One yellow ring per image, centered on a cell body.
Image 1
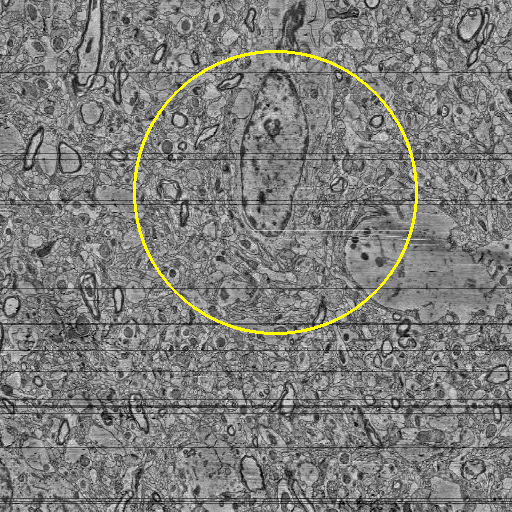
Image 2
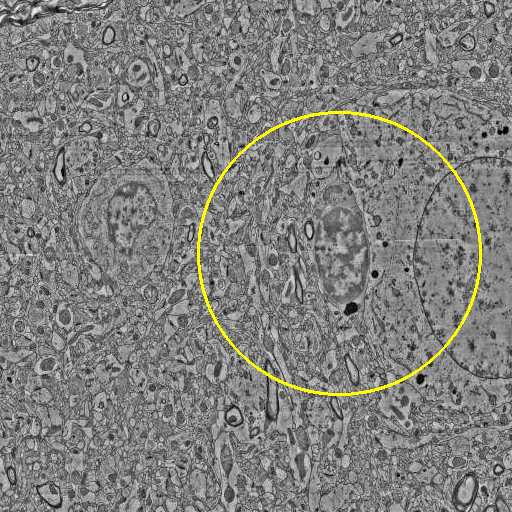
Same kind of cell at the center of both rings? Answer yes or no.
no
